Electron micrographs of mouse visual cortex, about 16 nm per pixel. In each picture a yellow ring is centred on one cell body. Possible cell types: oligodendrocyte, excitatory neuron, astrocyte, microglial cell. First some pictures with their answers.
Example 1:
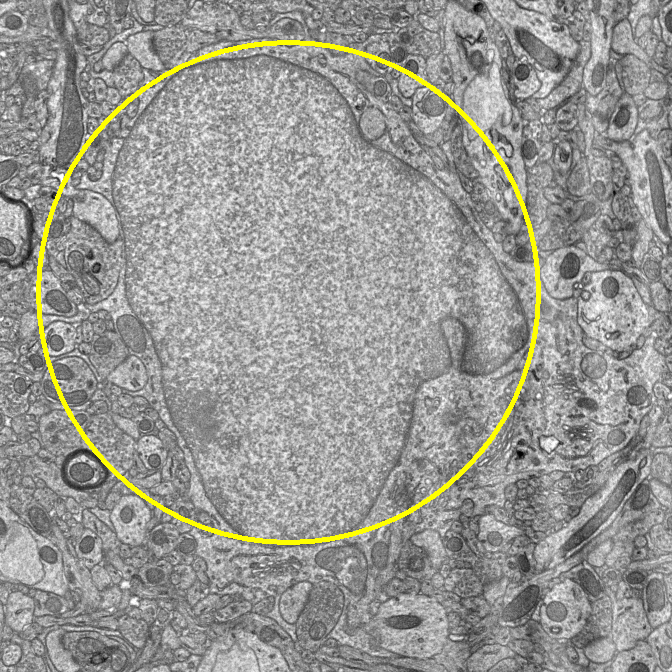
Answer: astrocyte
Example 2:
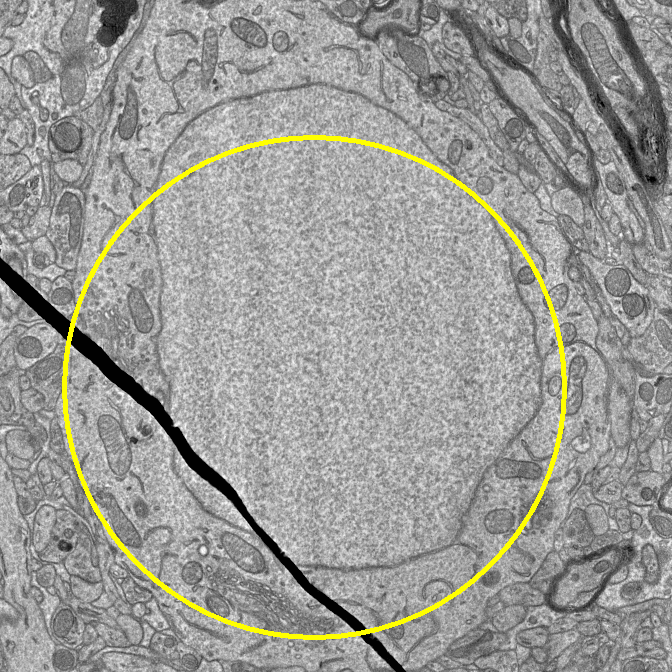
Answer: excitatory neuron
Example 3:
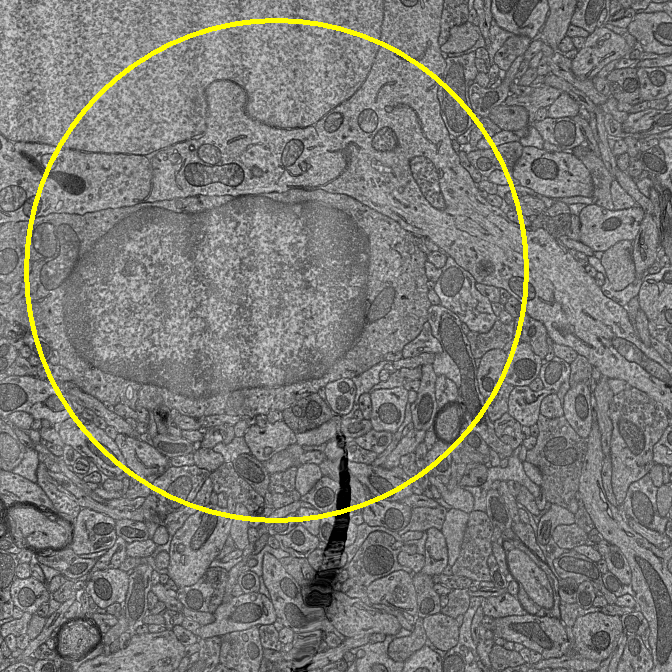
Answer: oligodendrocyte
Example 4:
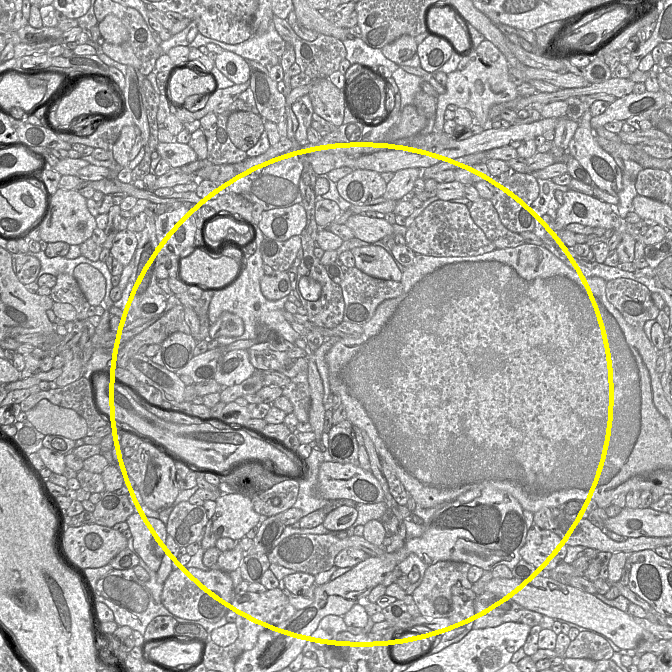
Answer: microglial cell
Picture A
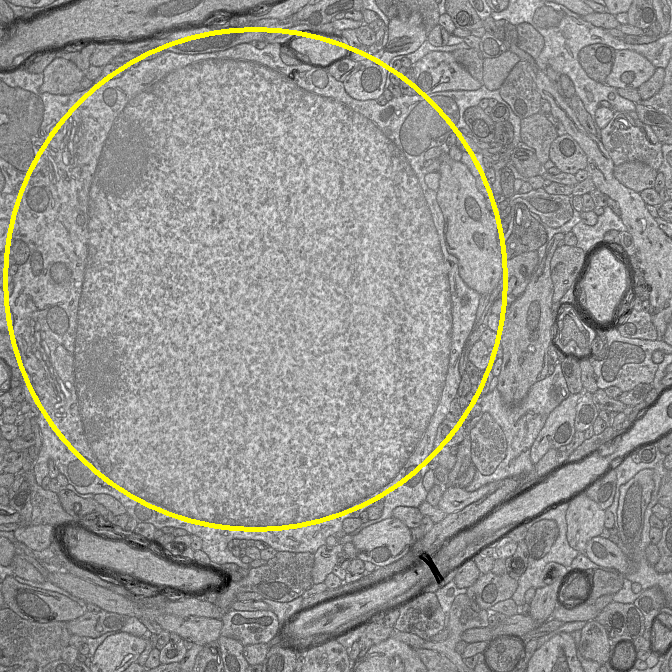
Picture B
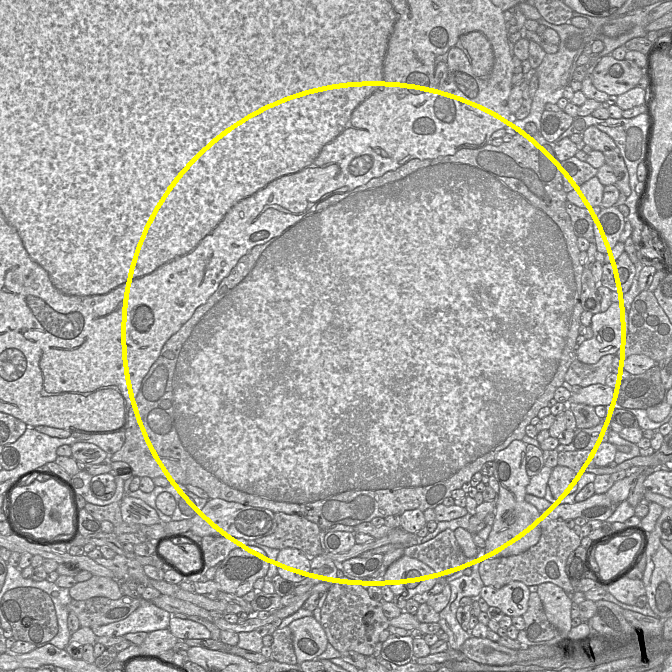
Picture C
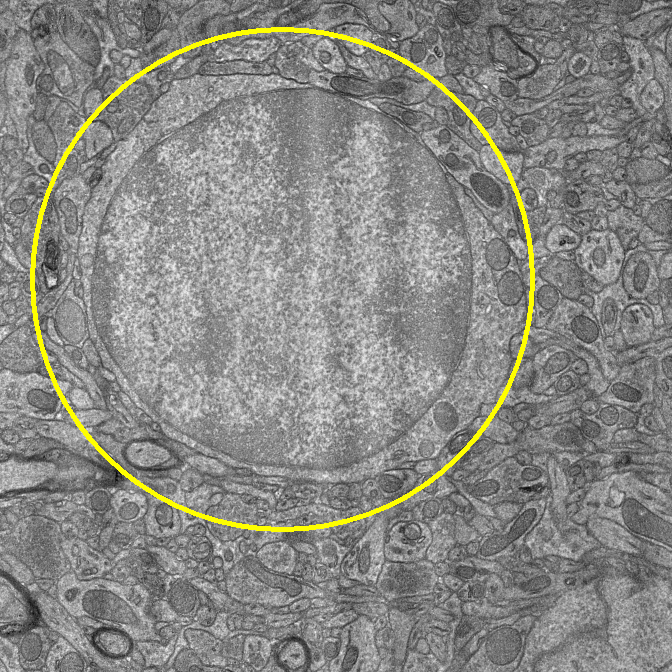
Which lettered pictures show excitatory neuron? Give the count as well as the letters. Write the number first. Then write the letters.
0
